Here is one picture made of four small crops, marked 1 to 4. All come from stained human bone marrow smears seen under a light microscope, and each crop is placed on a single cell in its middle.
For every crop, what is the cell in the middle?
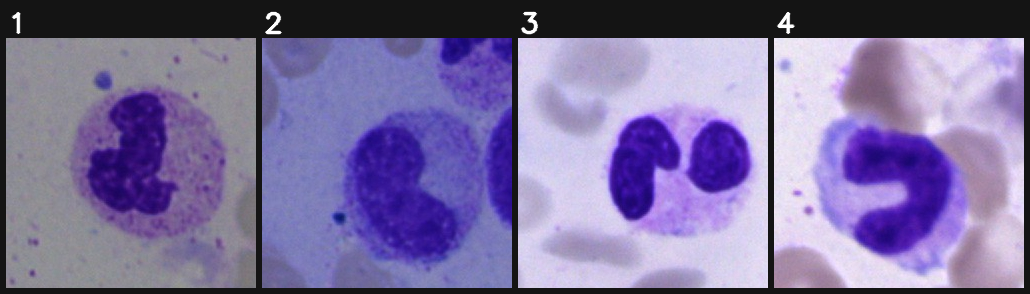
1: segmented neutrophil
2: band neutrophil
3: segmented neutrophil
4: band neutrophil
